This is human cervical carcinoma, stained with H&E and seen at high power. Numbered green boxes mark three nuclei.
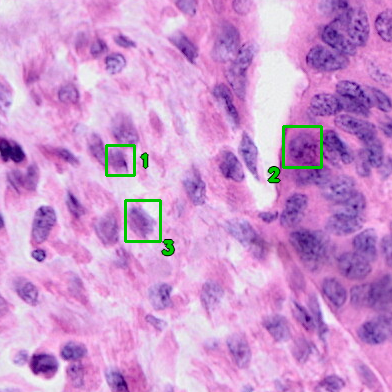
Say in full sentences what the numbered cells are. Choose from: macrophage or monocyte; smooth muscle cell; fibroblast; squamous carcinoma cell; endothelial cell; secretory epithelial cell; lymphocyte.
Cells 1 and 3 are fibroblasts. Cell 2 is a squamous carcinoma cell.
